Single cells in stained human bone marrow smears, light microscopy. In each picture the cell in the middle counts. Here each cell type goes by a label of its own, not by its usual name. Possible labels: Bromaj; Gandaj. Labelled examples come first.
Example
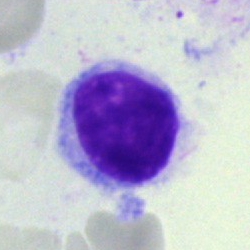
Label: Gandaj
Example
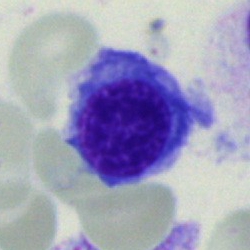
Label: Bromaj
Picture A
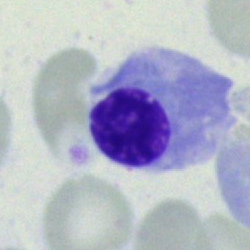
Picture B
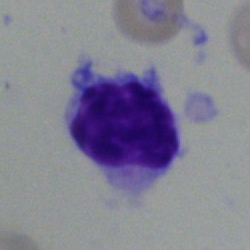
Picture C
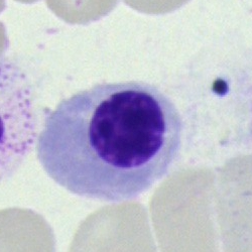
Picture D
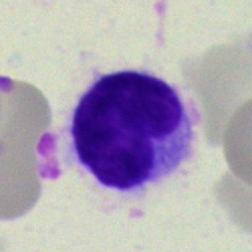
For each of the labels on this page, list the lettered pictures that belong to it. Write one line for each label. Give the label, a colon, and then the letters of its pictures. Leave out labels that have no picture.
Bromaj: A, C
Gandaj: B, D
